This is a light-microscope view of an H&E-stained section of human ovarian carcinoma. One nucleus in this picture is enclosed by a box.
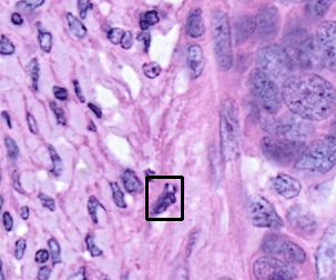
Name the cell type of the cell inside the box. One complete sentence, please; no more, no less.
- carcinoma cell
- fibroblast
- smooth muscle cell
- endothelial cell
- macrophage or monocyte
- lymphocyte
The cell type of the cell inside the box is that of a lymphocyte.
